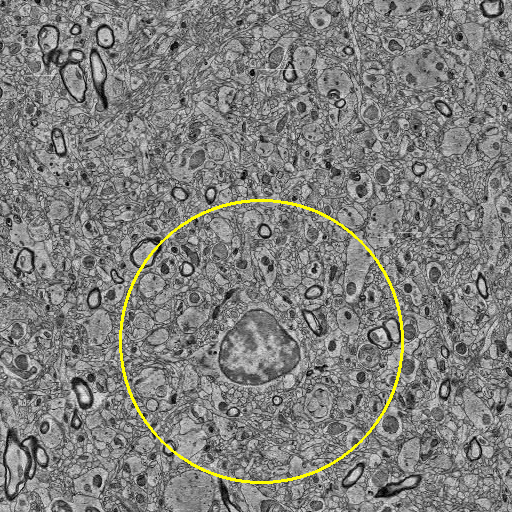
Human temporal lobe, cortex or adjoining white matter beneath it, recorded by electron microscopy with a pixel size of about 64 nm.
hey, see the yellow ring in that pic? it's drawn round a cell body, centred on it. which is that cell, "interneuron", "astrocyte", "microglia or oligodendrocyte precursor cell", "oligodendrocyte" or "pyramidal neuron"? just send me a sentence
The cell in the ring is a microglial cell or oligodendrocyte precursor cell.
